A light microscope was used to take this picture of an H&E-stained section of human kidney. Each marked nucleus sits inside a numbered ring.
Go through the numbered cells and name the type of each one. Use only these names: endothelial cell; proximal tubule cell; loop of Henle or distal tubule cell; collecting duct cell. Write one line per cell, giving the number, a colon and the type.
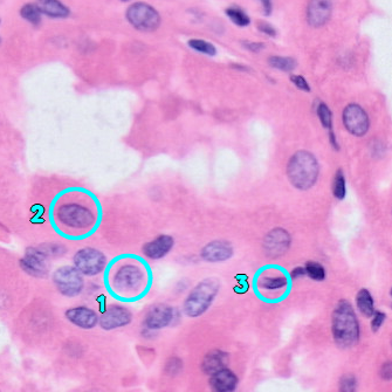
1: collecting duct cell
2: proximal tubule cell
3: endothelial cell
